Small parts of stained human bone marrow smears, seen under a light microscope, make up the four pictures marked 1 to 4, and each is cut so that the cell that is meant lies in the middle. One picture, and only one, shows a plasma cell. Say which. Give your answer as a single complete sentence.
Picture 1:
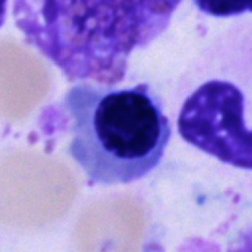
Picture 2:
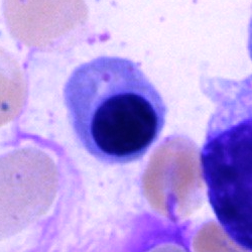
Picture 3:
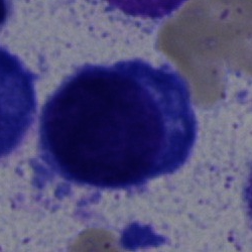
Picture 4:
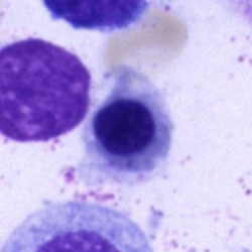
The plasma cell is the one in picture 3.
